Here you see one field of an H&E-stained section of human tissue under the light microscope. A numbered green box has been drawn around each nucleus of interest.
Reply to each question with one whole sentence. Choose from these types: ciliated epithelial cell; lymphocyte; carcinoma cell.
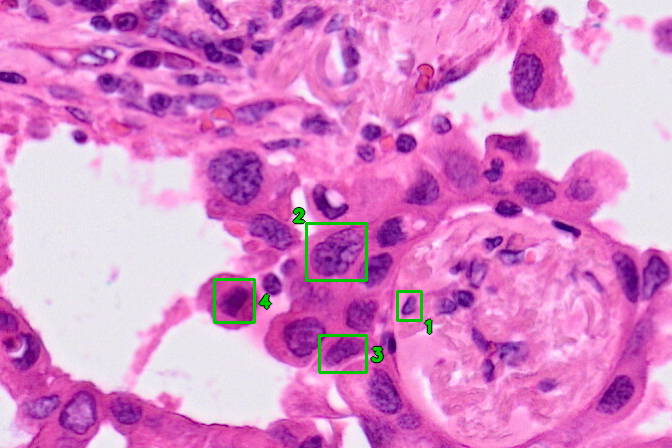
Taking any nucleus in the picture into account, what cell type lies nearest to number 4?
It is a lymphocyte whose nucleus is nearest to number 4.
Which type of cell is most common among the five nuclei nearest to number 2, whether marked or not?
The majority of the five nuclei closest to number 2 belong to carcinoma cells.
